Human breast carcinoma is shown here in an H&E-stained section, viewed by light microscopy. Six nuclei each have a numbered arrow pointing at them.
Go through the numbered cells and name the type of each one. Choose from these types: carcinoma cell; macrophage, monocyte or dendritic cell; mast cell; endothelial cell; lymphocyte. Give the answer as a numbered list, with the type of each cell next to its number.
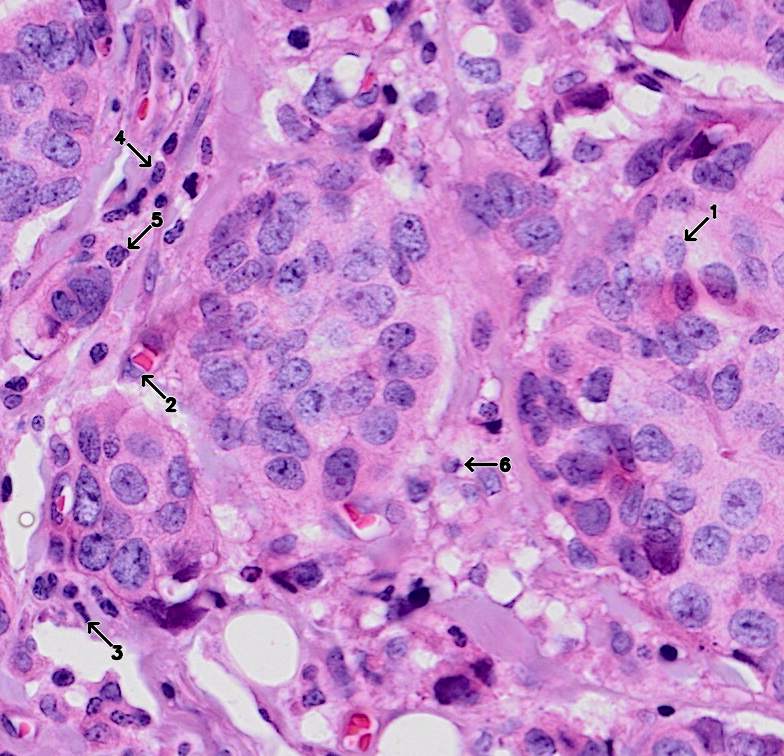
1. carcinoma cell
2. endothelial cell
3. lymphocyte
4. mast cell
5. lymphocyte
6. macrophage, monocyte or dendritic cell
